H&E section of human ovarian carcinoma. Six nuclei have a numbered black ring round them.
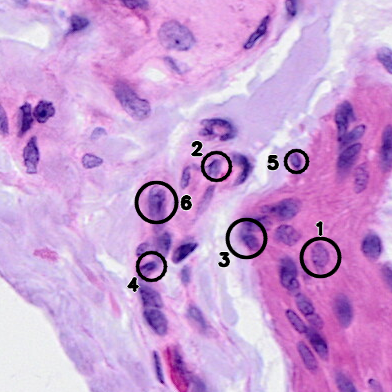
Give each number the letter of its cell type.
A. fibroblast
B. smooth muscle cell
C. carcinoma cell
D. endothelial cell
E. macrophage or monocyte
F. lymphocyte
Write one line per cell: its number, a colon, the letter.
1: B
2: D
3: B
4: D
5: B
6: D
